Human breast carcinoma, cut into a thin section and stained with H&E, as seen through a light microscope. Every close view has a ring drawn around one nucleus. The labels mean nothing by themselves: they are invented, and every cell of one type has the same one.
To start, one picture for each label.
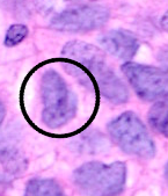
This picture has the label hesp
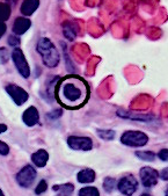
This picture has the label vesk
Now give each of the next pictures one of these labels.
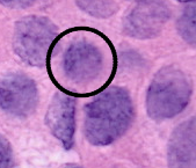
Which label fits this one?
hesp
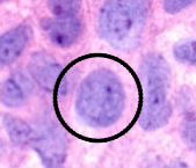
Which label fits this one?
hesp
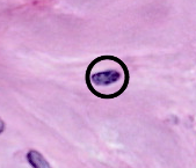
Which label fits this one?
vesk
